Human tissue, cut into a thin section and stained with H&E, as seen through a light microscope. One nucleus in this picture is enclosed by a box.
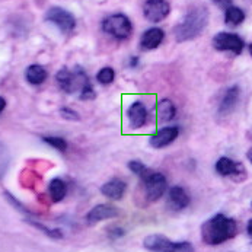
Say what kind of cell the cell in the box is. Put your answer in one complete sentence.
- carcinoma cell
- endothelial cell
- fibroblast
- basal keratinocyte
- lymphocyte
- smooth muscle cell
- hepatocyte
Typologically, the cell in the box is a lymphocyte in this section.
